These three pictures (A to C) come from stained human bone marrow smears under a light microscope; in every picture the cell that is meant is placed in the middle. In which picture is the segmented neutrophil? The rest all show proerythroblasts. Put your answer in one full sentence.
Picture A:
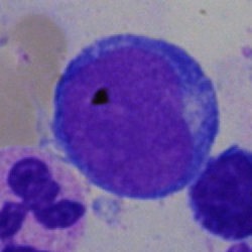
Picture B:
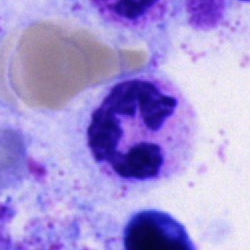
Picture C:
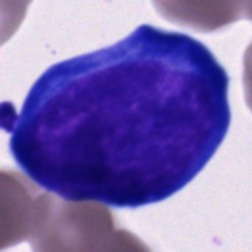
Picture B is the one that shows the segmented neutrophil.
